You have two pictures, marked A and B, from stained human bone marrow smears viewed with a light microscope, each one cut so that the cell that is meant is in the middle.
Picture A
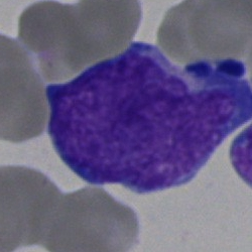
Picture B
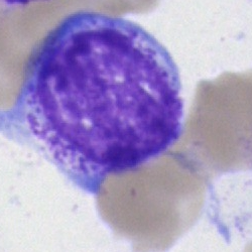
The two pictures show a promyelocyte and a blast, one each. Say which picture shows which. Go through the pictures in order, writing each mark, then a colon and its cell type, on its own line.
A: blast
B: promyelocyte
